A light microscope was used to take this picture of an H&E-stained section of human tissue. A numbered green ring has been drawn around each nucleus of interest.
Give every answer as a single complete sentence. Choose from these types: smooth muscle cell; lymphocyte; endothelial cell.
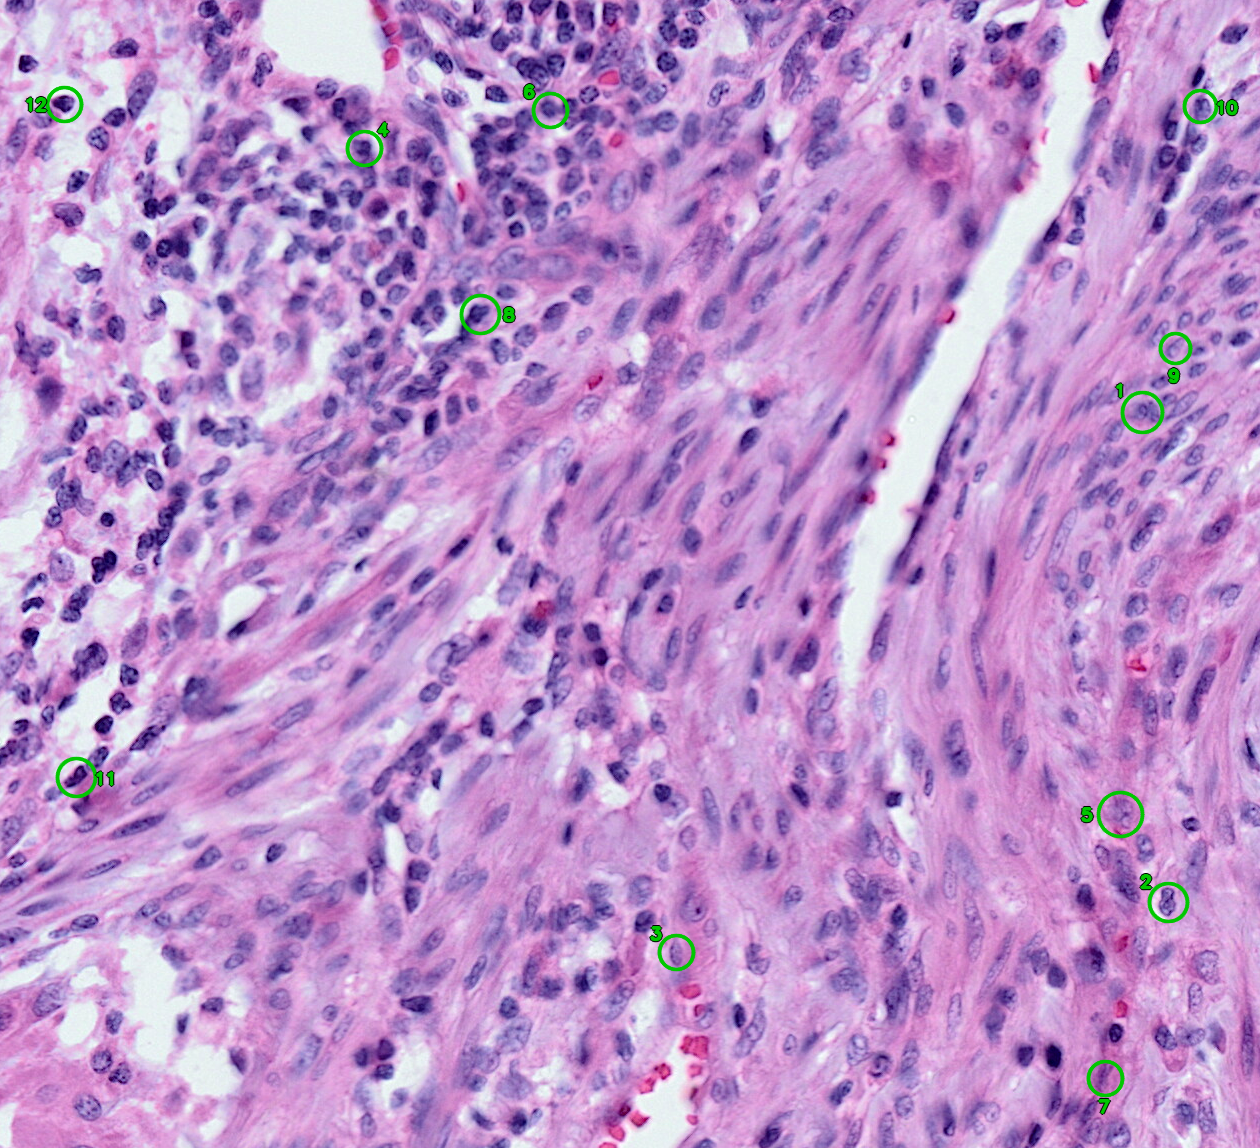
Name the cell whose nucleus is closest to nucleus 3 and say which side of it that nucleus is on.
The nearest one is an endothelial cell, found below nucleus 3.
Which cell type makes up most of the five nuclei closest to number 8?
The majority of the five nuclei closest to number 8 belong to lymphocytes.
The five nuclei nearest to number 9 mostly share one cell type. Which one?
Around number 9, most of the five nearest nuclei are those of smooth muscle cells.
